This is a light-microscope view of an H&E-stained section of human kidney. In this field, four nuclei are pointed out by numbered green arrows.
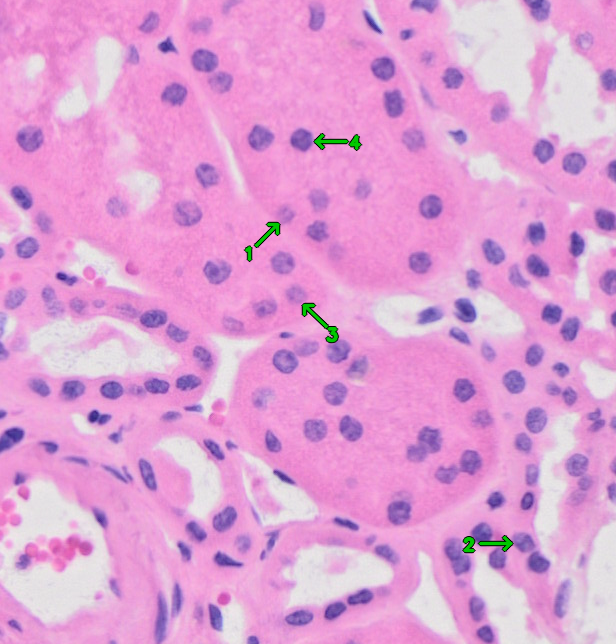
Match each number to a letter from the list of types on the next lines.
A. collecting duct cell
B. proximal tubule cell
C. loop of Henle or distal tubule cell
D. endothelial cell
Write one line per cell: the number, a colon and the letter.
1: B
2: A
3: B
4: B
